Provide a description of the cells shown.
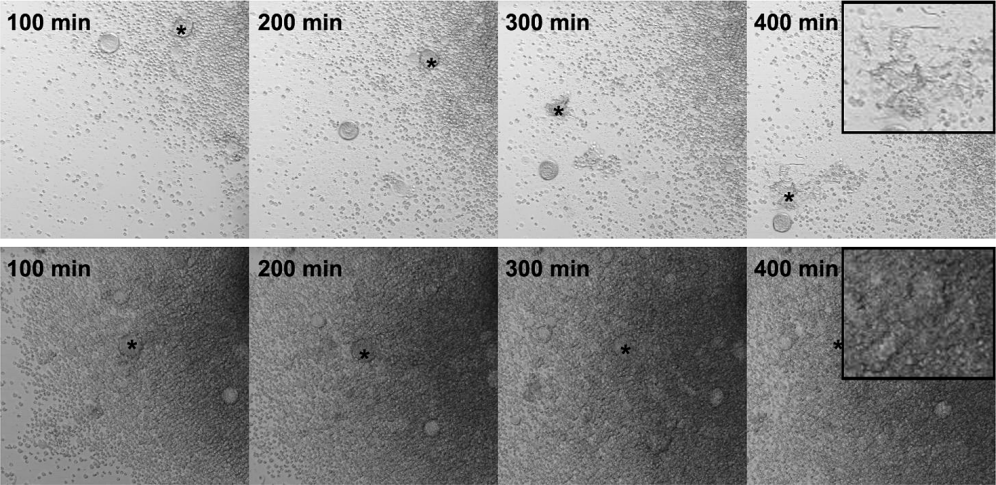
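The megakaryocyte is far larger than the surrounding cells, and a few other large round cells are scattered across the field. In the upper row, the boxed enlargement shows the cell with long, thin, branching extensions bearing small beads, the appearance of a proplatelet forming megakaryocyte.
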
